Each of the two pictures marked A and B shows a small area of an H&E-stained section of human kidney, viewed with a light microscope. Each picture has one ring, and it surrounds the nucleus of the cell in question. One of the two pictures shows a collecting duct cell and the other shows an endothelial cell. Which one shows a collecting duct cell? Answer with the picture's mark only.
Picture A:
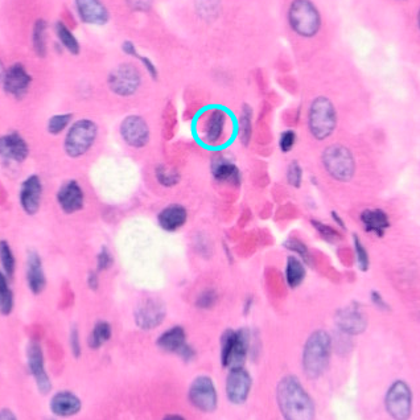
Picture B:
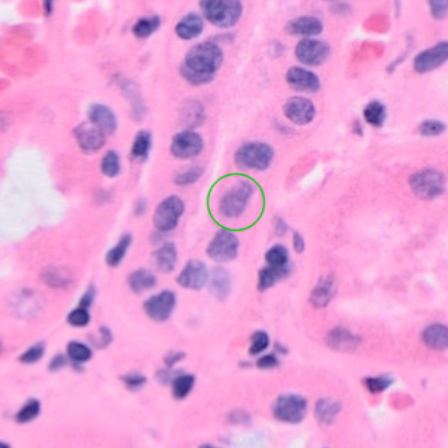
B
